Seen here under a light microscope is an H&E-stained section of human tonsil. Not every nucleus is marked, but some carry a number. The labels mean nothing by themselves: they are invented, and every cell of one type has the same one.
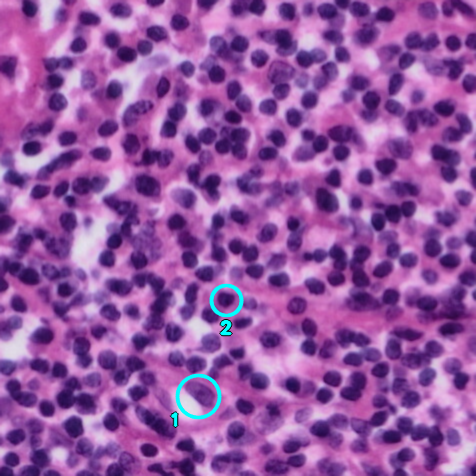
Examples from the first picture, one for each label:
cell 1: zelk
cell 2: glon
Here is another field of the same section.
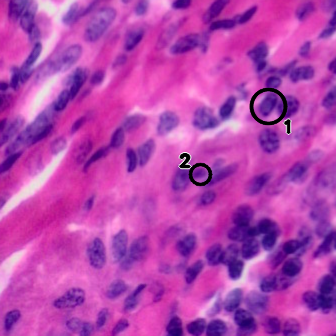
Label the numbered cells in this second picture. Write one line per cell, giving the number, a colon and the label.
1: glon
2: zelk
